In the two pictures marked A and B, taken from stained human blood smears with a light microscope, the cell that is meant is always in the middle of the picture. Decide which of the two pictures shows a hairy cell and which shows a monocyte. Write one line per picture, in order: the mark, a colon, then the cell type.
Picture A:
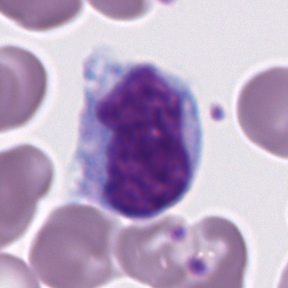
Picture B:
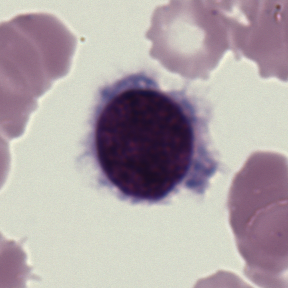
A: monocyte
B: hairy cell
